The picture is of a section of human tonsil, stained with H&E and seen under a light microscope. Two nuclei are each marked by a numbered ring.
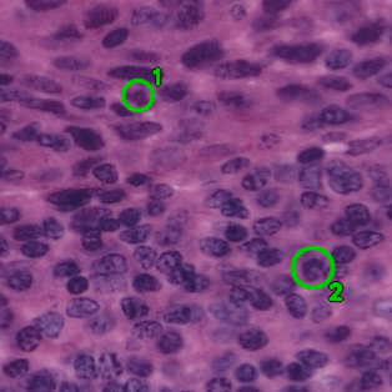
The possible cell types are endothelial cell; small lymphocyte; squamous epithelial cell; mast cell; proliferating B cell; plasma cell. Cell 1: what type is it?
squamous epithelial cell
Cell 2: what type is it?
plasma cell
